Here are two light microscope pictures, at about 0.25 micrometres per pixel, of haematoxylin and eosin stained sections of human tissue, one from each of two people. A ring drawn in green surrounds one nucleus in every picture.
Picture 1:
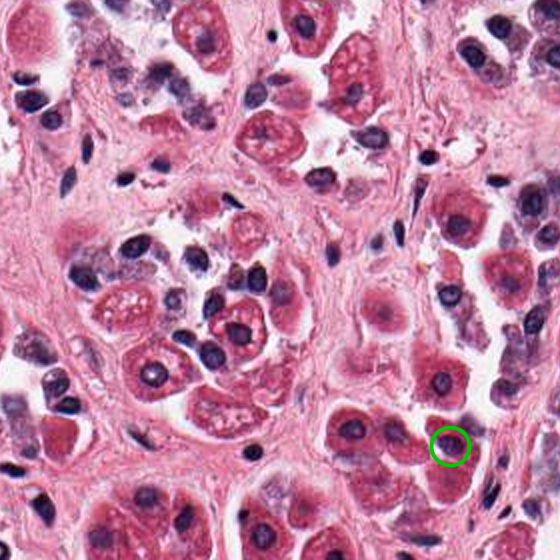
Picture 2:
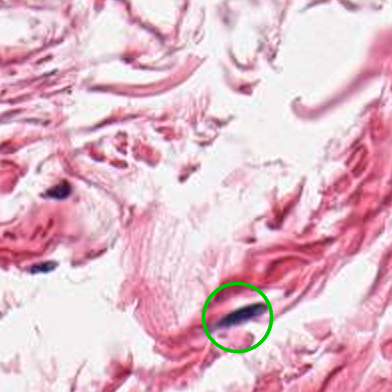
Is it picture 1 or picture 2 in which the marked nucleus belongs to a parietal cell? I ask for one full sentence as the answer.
In picture 1, the marked nucleus belongs to a parietal cell, while in the other picture it does not.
